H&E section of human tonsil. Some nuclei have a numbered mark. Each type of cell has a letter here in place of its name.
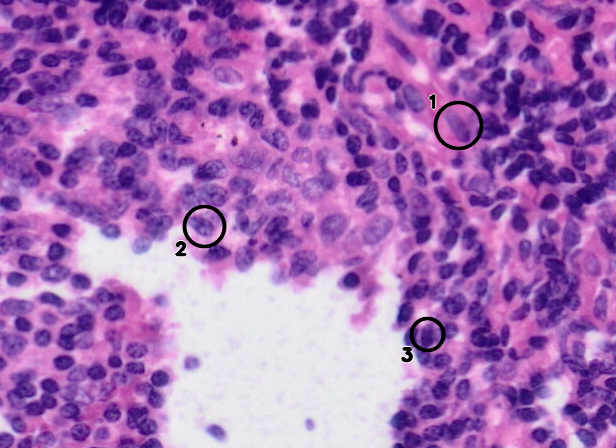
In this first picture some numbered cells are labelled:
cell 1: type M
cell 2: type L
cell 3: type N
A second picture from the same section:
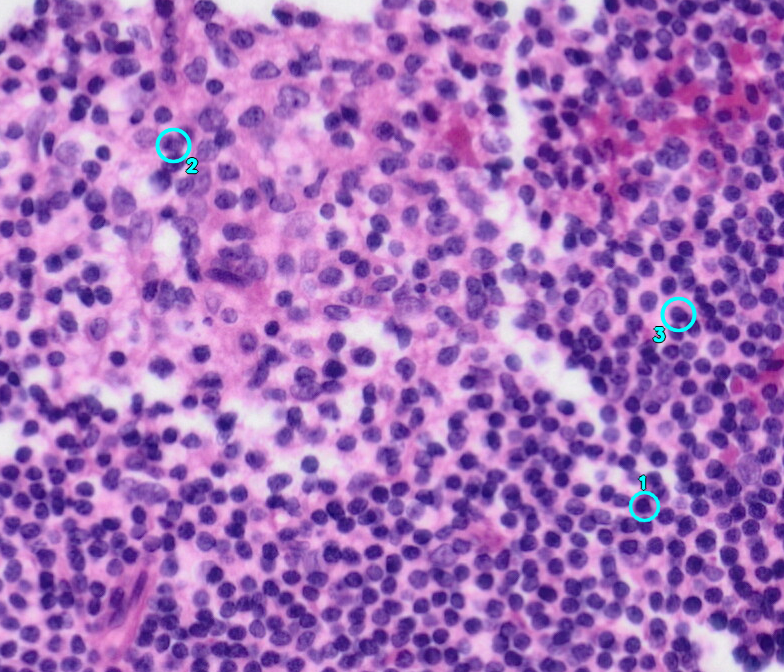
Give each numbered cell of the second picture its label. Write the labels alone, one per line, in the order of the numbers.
type N
type L
type N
